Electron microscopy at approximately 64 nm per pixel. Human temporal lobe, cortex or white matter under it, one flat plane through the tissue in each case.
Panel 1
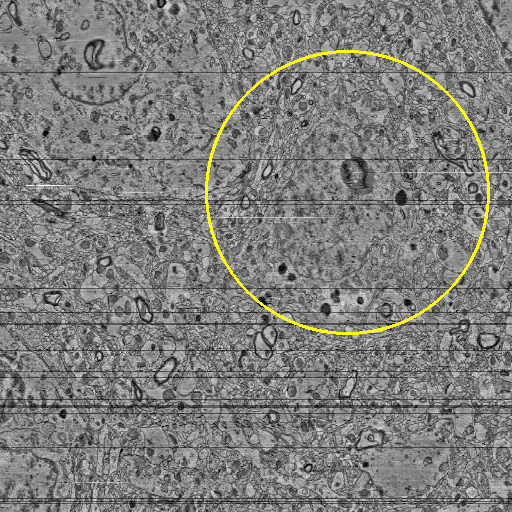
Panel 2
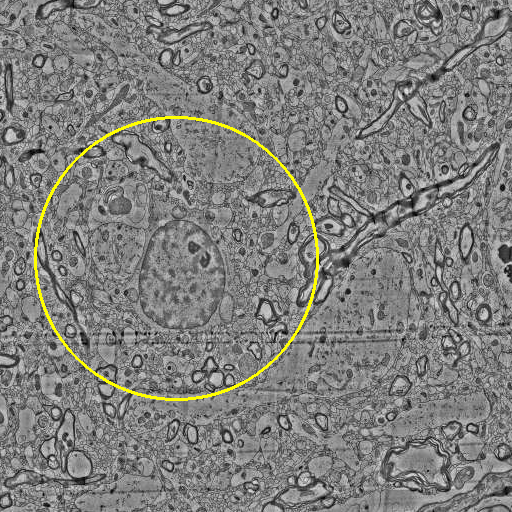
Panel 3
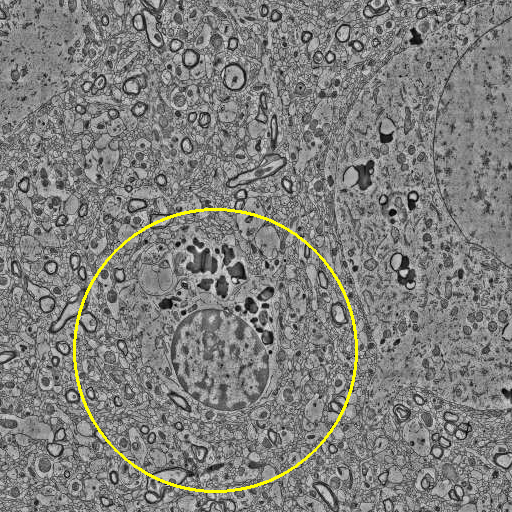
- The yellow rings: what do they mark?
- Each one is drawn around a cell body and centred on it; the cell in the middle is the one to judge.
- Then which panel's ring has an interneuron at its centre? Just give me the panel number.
1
